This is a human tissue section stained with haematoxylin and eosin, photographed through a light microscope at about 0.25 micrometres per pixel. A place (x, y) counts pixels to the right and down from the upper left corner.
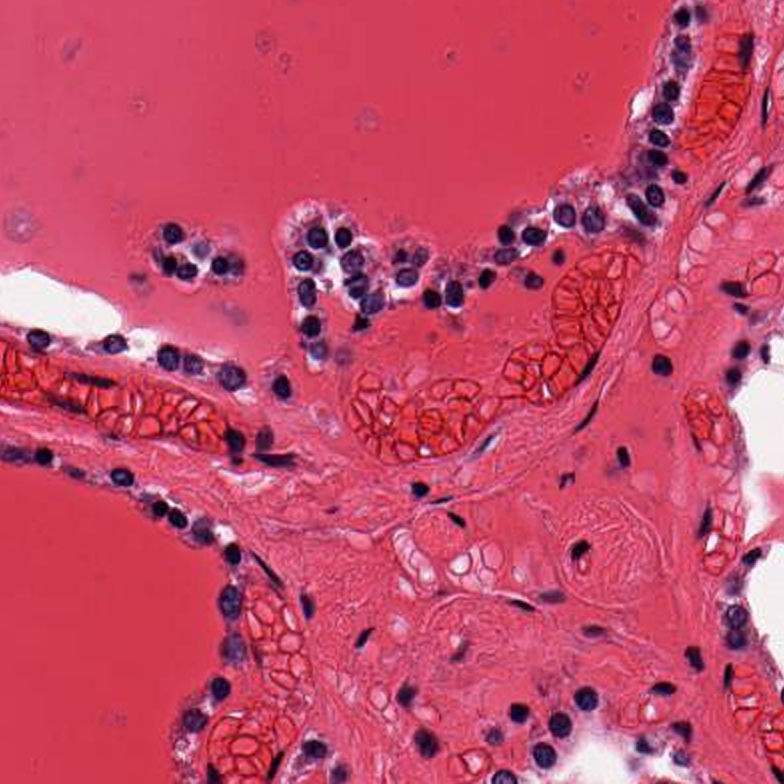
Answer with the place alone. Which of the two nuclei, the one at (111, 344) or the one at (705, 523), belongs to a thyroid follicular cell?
(111, 344)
